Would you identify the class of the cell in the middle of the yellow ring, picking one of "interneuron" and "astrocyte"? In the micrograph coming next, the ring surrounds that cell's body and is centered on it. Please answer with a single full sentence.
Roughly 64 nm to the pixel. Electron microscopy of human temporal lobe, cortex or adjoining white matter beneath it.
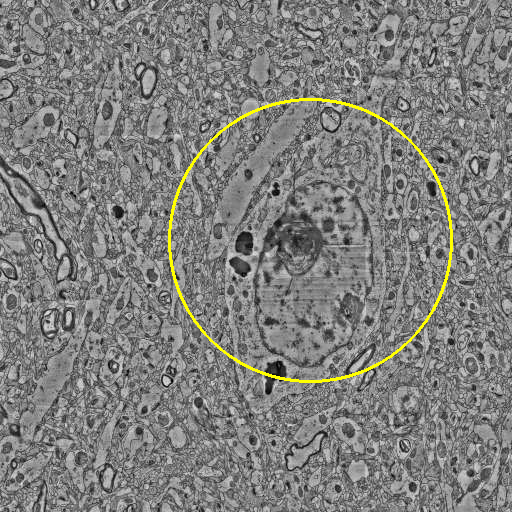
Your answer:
In the micrograph, it is an interneuron whose body lies at the ring's center.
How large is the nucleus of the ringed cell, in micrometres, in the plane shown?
In this plane, approximately 12 by 8 micrometers.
